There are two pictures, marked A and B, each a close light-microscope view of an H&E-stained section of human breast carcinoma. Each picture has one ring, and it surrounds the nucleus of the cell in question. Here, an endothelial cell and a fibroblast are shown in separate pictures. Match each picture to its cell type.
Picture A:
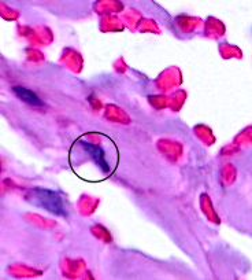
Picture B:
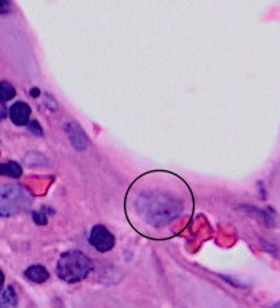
A: fibroblast
B: endothelial cell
